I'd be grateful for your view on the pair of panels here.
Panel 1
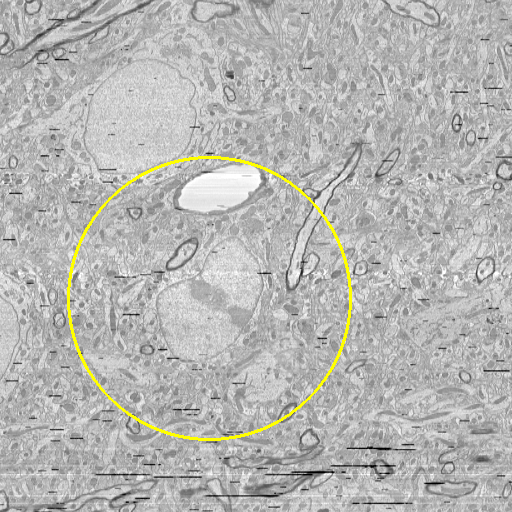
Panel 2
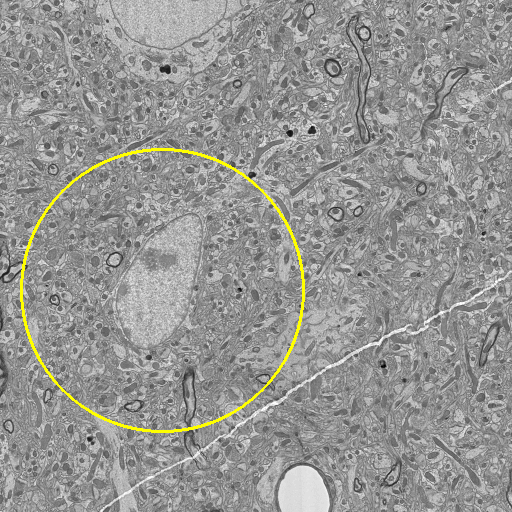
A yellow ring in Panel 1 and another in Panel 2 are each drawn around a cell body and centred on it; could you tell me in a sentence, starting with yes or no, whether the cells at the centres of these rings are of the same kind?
Yes, they are the same kind of cell.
